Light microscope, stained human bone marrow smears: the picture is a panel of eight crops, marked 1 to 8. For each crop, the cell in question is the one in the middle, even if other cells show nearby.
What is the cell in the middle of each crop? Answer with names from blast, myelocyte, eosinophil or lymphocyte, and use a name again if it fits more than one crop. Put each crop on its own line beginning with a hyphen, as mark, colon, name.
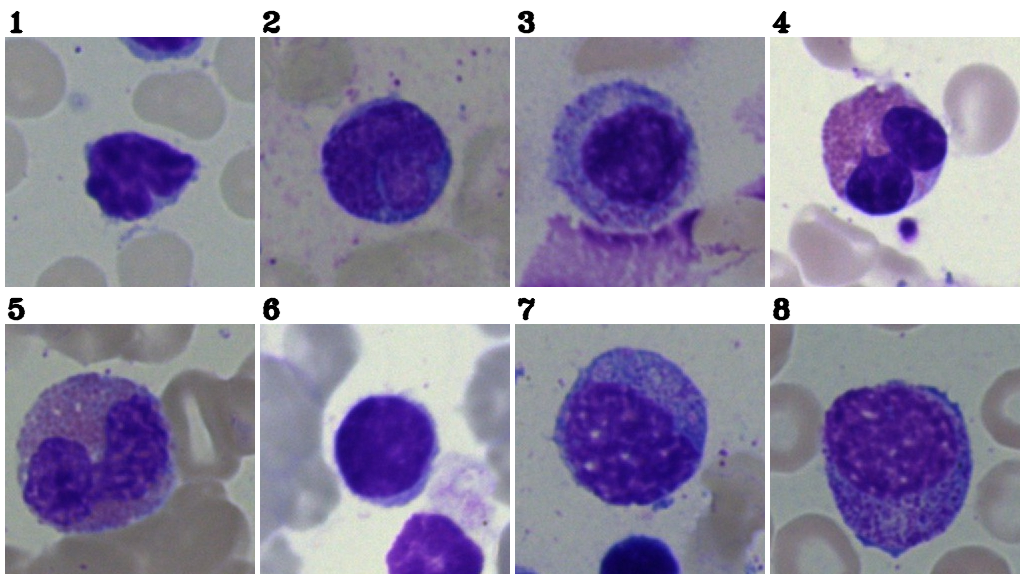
- 1: lymphocyte
- 2: blast
- 3: myelocyte
- 4: eosinophil
- 5: eosinophil
- 6: lymphocyte
- 7: myelocyte
- 8: myelocyte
